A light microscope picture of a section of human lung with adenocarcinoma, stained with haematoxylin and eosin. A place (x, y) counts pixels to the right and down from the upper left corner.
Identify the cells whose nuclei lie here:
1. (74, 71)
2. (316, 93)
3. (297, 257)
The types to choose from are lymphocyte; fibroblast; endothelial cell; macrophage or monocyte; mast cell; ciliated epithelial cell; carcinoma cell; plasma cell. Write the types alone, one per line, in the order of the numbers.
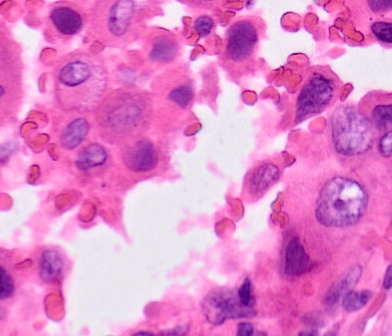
macrophage or monocyte
carcinoma cell
carcinoma cell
